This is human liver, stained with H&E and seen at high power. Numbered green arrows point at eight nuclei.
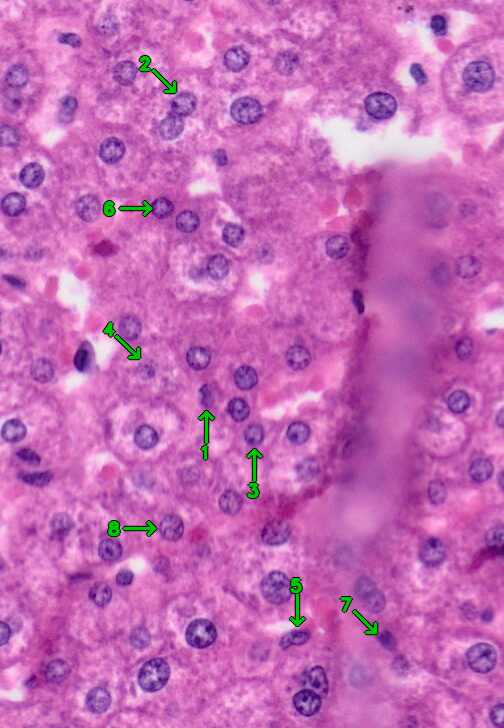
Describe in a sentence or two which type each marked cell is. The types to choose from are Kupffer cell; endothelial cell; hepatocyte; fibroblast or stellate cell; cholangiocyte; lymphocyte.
Cell 1 is an endothelial cell, cell 2 is a hepatocyte, cell 3 is a hepatocyte, cell 4 is a hepatocyte, cell 5 is a Kupffer cell, cell 6 is a hepatocyte, cell 7 is a fibroblast or stellate cell and cell 8 is a hepatocyte.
